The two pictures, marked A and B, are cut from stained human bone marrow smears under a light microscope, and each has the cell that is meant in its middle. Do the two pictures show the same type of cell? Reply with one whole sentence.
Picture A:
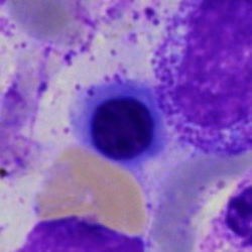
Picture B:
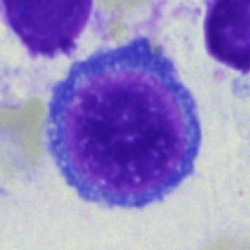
Yes, both are erythroblasts.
